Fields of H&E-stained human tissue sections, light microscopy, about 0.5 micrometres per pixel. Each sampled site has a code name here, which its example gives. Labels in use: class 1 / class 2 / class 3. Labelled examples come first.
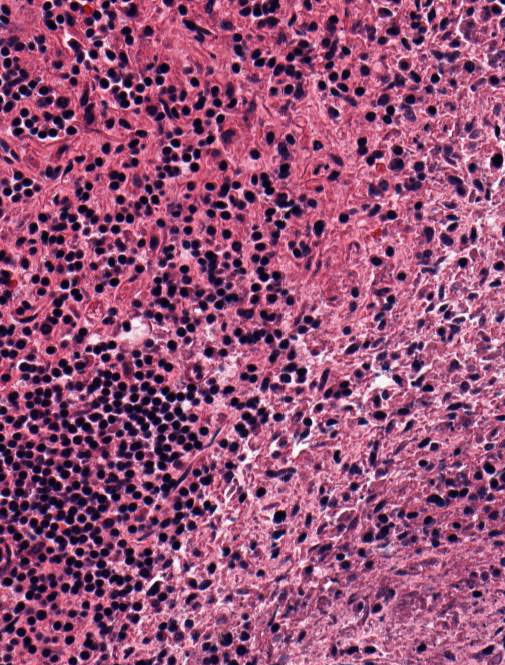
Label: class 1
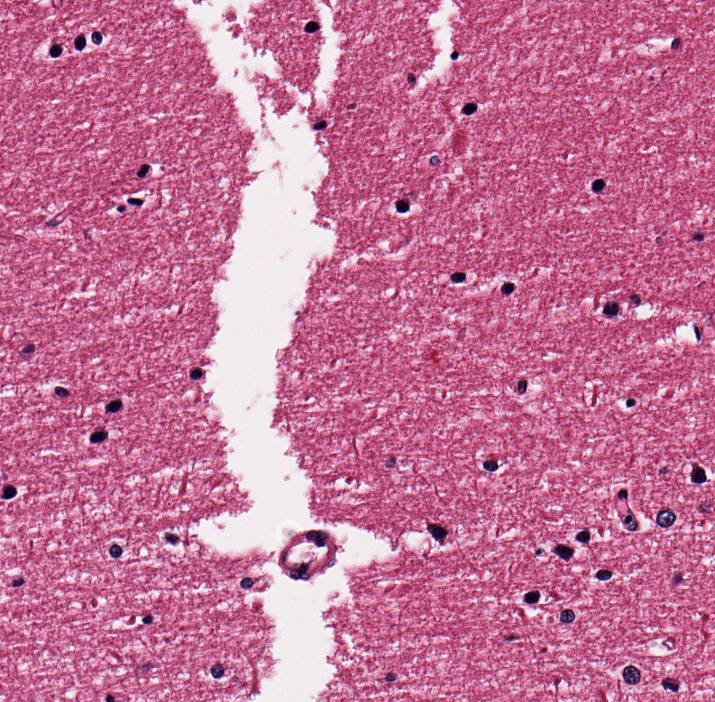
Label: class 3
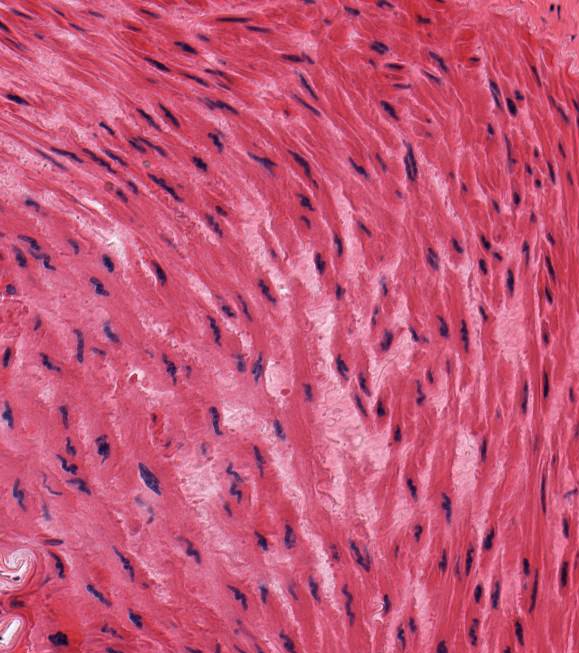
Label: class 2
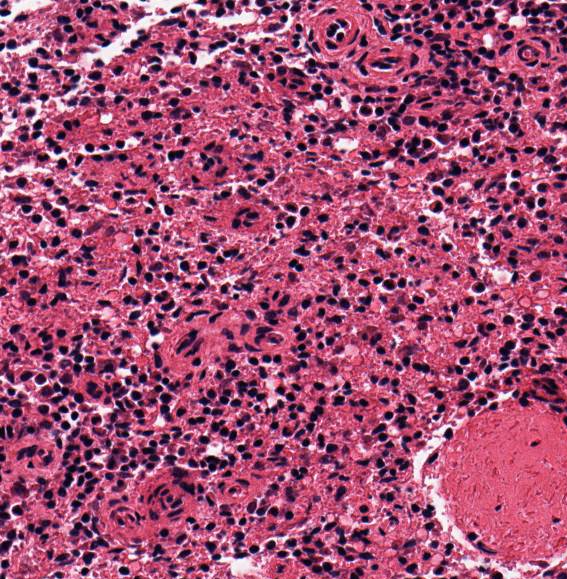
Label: class 1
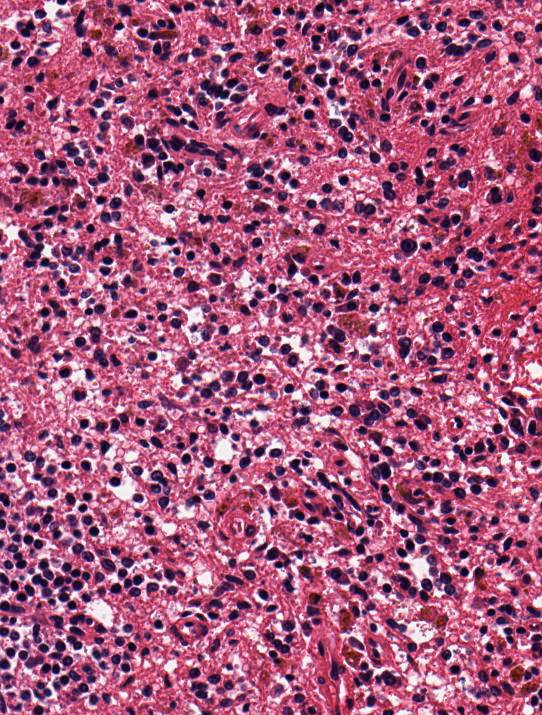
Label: class 1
